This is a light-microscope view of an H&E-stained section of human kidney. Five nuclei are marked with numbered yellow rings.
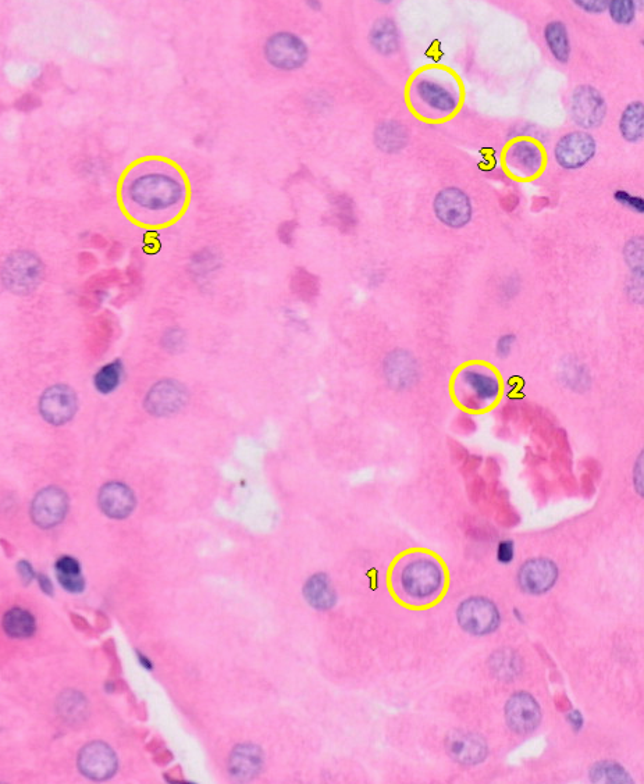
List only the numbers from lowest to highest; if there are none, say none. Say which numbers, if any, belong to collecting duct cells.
3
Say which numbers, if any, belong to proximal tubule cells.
1, 5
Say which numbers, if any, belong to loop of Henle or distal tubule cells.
4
